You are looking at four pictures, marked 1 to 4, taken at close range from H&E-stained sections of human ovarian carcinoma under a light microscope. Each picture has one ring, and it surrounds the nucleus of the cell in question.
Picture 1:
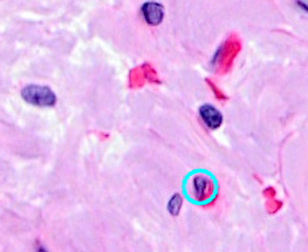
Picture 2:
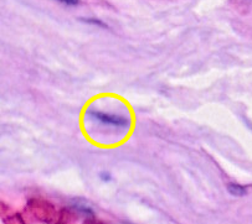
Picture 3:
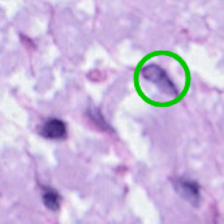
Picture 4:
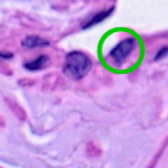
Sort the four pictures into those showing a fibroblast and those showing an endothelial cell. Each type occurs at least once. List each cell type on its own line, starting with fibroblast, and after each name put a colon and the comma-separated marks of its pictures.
fibroblast: 2, 3
endothelial cell: 1, 4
